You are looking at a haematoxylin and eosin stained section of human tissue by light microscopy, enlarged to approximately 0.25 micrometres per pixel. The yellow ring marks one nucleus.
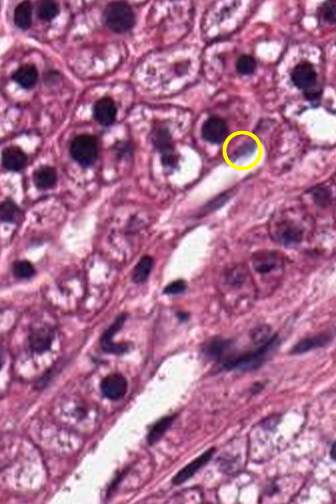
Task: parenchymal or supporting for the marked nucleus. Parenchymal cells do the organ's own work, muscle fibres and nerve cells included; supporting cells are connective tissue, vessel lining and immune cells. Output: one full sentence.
The marked nucleus forms part of a supporting cell.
